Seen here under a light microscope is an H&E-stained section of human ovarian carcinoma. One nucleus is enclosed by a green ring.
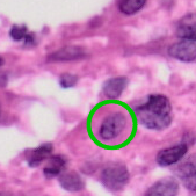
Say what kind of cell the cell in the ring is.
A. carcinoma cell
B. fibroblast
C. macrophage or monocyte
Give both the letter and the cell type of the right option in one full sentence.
The right pick is option C; the cell in the ring is a macrophage or monocyte.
